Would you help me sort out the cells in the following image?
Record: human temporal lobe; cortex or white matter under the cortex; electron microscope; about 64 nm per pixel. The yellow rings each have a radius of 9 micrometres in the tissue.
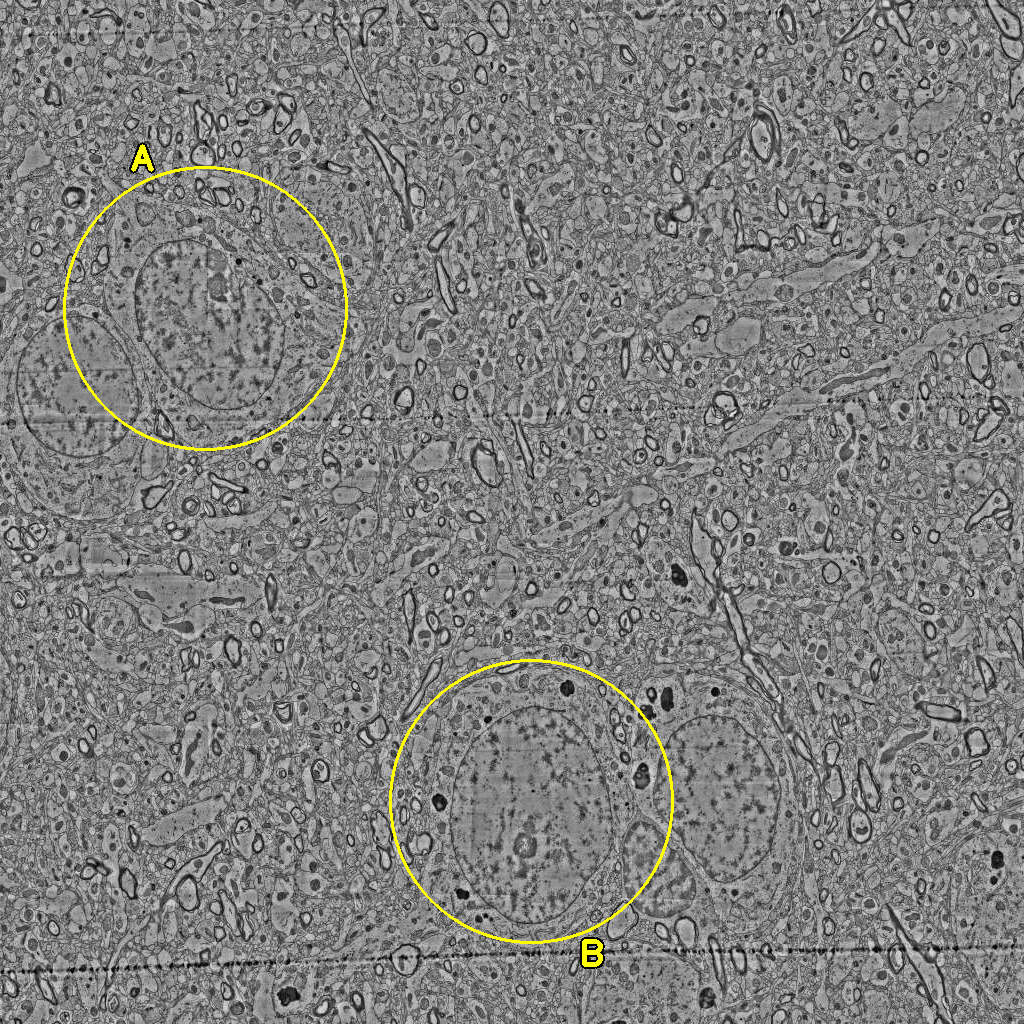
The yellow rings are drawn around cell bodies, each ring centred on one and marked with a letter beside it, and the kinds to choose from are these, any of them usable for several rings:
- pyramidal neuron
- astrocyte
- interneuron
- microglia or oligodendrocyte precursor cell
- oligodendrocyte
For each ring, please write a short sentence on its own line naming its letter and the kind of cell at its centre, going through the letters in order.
Ring A is centred on the cell body of a pyramidal neuron.
Ring B is centred on the cell body of a pyramidal neuron.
